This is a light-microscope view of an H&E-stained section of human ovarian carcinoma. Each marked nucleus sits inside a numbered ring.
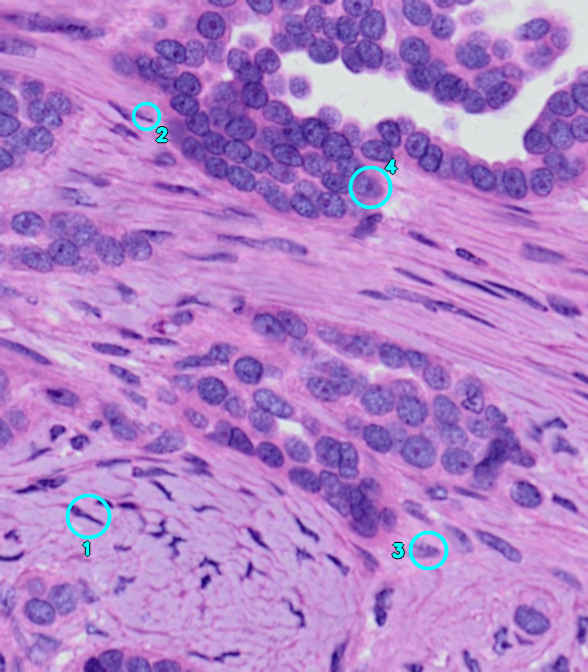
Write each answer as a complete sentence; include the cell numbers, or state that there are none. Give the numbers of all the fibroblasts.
Cells 1, 2 and 3 are classified as fibroblasts.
